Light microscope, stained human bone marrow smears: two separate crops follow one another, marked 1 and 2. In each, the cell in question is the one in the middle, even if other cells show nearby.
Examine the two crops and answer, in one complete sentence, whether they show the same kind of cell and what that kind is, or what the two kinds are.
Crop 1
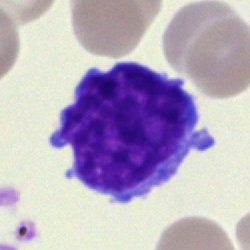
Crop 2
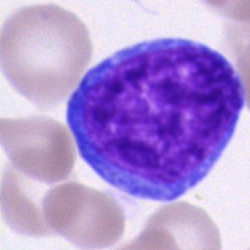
Yes, they do, both crops show blasts.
